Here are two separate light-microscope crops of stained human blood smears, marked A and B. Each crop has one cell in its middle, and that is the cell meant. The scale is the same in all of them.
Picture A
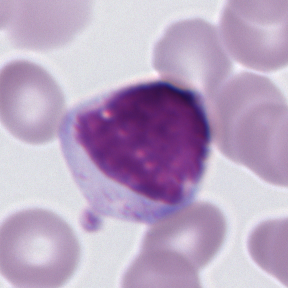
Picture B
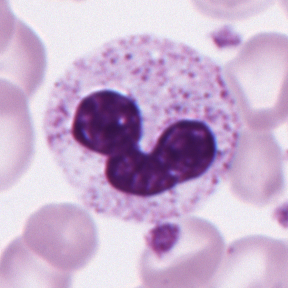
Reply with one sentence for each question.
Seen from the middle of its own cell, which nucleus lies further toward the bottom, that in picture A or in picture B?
It is the nucleus in picture B that lies further toward the bottom of its cell.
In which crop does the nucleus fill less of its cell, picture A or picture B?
Of the two, the nucleus in picture B leaves more room for cytoplasm.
